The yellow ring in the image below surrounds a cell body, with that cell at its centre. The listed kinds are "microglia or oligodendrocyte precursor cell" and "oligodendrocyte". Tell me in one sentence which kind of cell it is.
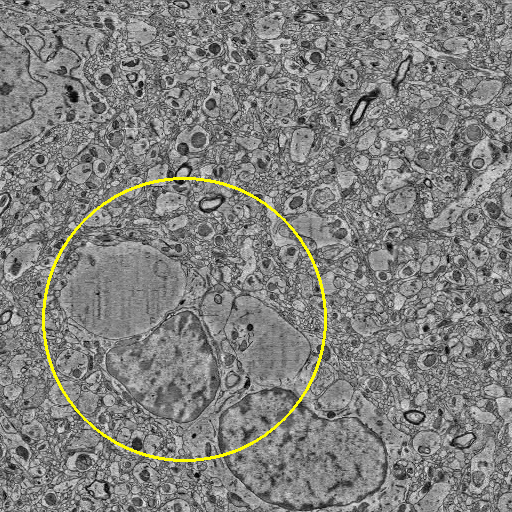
The centre of the ring holds a microglial cell or oligodendrocyte precursor cell.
